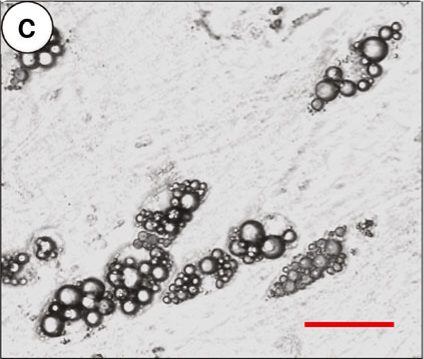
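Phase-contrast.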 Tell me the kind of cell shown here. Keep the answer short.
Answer: Adipocyte.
